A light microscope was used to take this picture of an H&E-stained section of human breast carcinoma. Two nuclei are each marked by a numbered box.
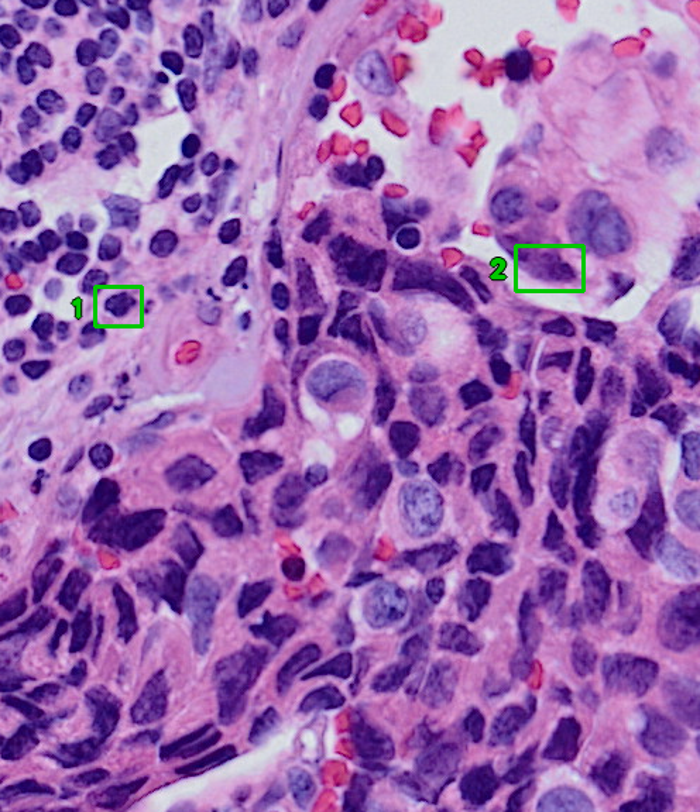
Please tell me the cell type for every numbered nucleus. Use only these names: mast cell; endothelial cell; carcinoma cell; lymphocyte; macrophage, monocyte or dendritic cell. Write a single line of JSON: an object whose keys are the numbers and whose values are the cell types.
{"1": "lymphocyte", "2": "carcinoma cell"}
